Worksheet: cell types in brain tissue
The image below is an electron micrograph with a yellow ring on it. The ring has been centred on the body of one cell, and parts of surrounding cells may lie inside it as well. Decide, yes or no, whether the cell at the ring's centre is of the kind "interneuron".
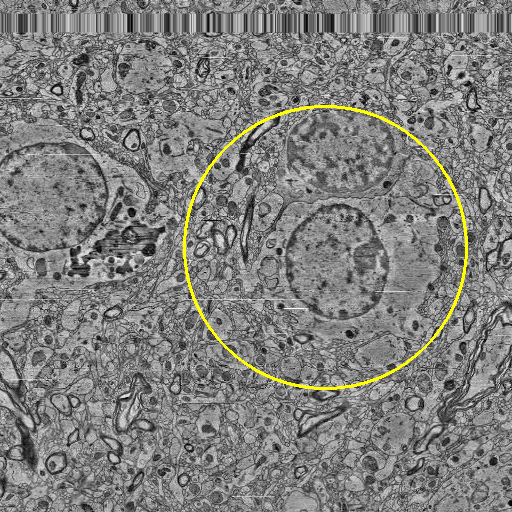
no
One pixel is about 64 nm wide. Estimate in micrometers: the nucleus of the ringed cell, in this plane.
In this plane, roughly 7 micrometres across.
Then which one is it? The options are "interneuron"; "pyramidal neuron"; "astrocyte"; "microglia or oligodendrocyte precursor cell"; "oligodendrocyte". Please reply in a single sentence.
It is an astrocyte at the centre of the ring.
